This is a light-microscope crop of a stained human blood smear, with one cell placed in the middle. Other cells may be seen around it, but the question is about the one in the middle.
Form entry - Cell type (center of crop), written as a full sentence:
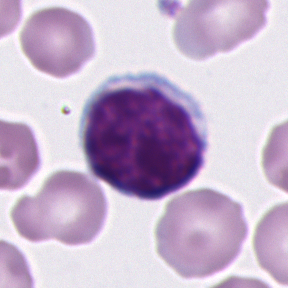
The single cell at the center of the crop is a typical lymphocyte.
